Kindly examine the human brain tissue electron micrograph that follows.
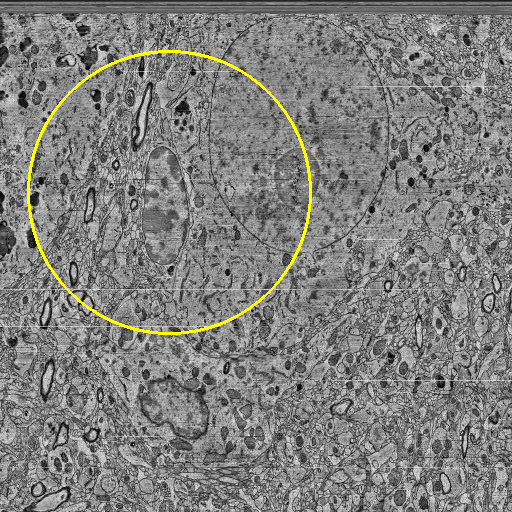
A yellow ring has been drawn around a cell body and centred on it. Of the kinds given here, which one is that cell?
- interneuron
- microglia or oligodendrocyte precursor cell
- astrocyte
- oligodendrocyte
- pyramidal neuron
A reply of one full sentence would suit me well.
The micrograph's ringed cell, the one at the ring's centre, is a microglial cell or oligodendrocyte precursor cell.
